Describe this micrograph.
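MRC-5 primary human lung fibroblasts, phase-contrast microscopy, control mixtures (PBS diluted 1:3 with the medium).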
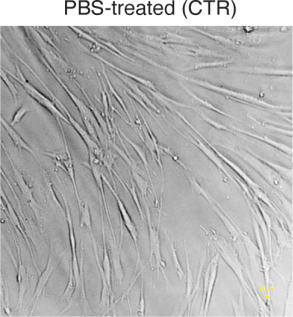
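Most cells are slender and spindle-shaped, with long tapering ends at both poles. They lie close together and run in roughly parallel streams across the field. A few small, bright, rounded cells stand out from the flat layer.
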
